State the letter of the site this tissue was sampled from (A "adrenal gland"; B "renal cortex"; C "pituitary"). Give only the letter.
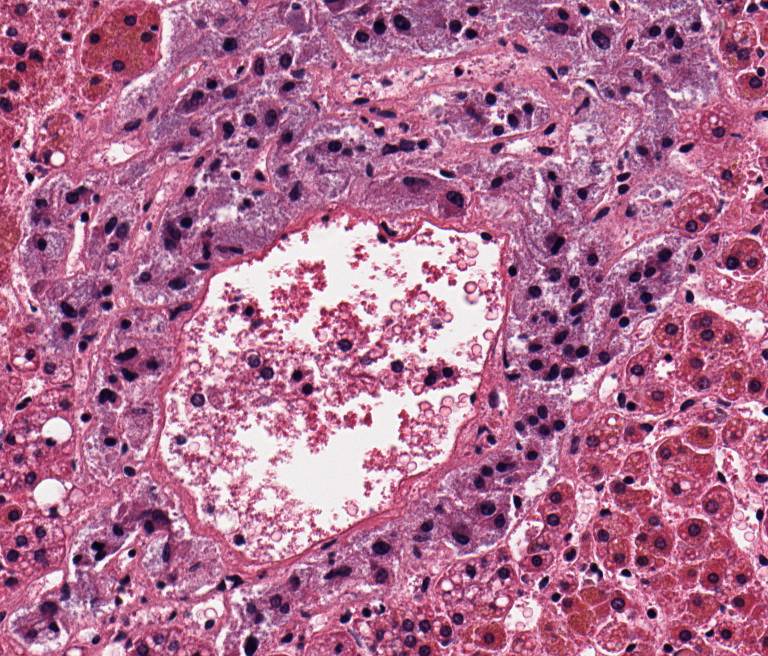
A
